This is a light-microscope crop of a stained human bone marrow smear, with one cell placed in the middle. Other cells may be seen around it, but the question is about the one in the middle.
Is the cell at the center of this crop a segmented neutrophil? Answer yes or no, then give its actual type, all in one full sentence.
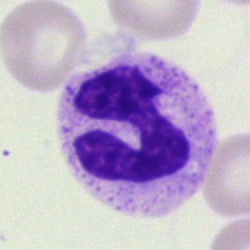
Yes, the cell located at the center is a segmented neutrophil.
